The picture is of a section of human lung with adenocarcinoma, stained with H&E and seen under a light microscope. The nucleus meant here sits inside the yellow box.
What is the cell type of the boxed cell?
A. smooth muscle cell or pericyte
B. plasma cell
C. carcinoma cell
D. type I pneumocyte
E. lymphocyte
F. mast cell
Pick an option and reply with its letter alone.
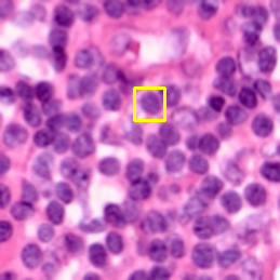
E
